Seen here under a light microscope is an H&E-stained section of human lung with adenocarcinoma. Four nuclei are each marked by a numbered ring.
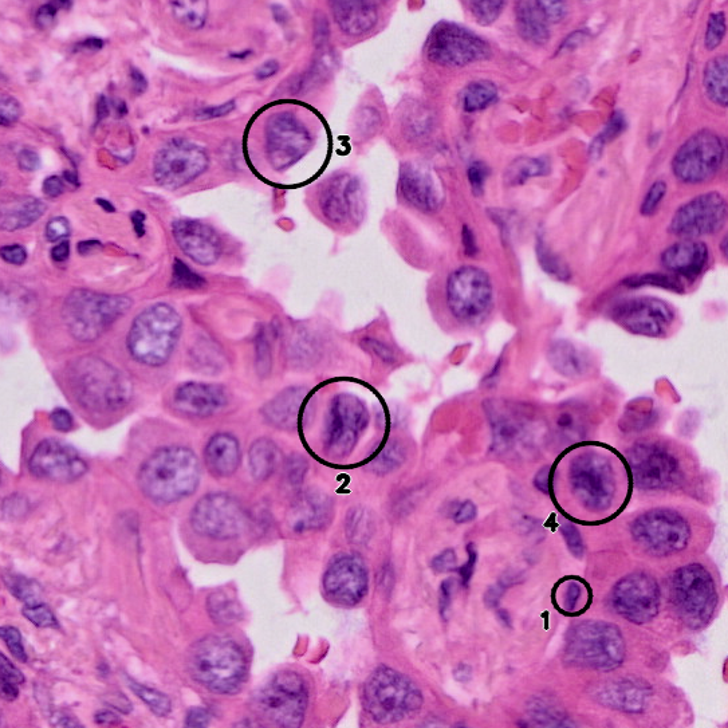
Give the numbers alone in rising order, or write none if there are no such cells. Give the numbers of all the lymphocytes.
1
